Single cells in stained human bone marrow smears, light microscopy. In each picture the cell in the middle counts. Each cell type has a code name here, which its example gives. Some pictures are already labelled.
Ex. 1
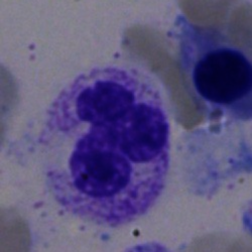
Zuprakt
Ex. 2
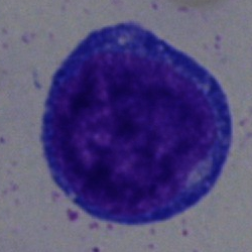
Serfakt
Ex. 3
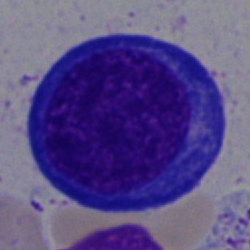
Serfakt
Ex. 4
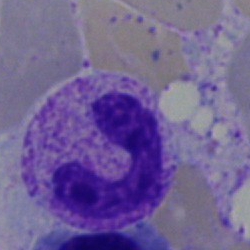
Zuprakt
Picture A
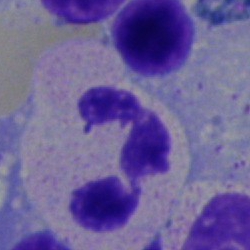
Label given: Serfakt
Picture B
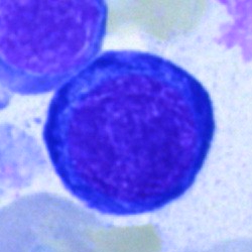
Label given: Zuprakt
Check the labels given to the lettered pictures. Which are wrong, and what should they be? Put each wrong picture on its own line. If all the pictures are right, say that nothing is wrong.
A: not Serfakt but Zuprakt
B: not Zuprakt but Serfakt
